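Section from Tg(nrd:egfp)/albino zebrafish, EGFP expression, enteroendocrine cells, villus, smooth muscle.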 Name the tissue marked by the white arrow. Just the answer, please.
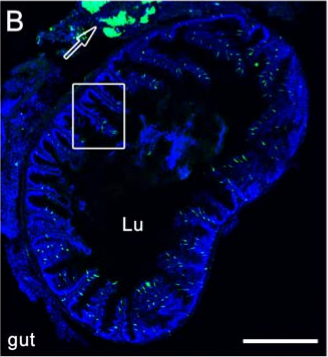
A: Pancreas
